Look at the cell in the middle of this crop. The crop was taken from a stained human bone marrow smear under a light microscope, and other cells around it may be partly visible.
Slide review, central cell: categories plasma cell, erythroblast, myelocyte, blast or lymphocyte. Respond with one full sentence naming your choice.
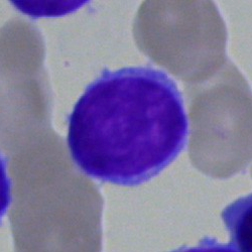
Where the crop is centred, there is a lymphocyte.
